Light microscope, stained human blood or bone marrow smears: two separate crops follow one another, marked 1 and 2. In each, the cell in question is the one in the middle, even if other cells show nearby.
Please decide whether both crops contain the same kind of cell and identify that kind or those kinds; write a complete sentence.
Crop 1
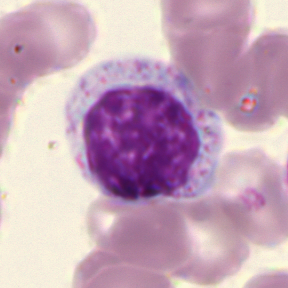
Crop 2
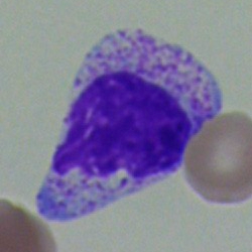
Yes, both crops show myelocytes in their central position.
